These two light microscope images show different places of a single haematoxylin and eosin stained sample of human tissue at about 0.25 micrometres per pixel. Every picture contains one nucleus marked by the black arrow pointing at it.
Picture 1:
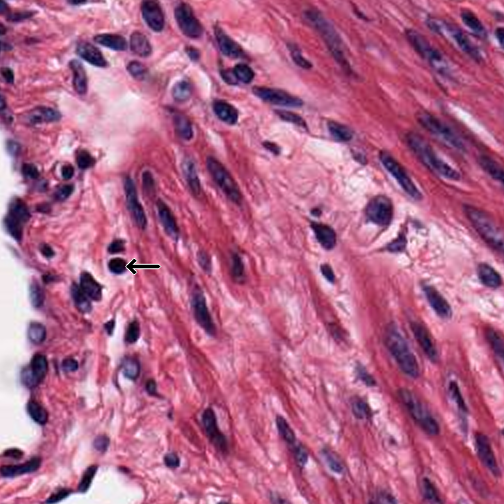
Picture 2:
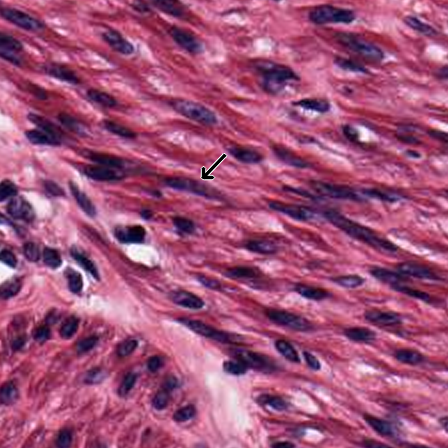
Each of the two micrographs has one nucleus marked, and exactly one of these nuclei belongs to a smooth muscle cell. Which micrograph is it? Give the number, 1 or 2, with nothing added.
2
